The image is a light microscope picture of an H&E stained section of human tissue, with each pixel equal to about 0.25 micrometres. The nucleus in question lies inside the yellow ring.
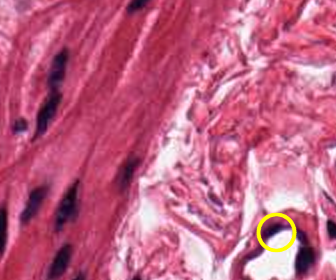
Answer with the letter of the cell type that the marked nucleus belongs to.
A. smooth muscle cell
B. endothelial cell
B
